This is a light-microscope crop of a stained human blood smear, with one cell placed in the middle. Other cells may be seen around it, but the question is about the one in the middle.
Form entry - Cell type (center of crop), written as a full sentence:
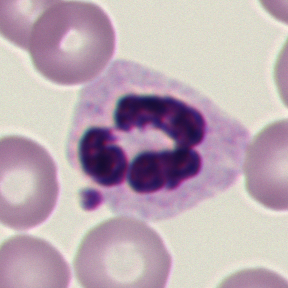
In the centre of this crop there is a segmented neutrophil.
